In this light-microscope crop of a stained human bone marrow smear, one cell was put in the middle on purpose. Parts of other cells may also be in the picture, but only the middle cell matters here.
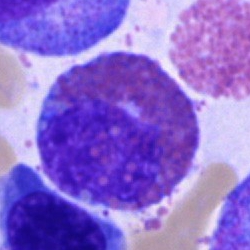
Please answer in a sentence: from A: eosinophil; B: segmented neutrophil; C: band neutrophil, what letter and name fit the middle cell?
Option A is to be chosen, as the central cell is an eosinophil.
